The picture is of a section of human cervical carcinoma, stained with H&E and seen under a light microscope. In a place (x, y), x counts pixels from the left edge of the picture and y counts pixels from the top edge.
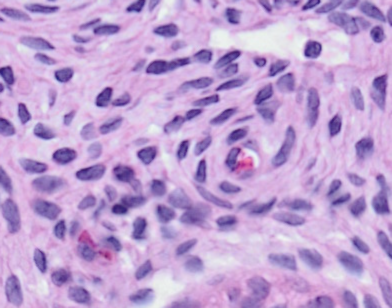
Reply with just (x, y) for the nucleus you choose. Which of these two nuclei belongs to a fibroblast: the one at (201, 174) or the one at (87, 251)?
(201, 174)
